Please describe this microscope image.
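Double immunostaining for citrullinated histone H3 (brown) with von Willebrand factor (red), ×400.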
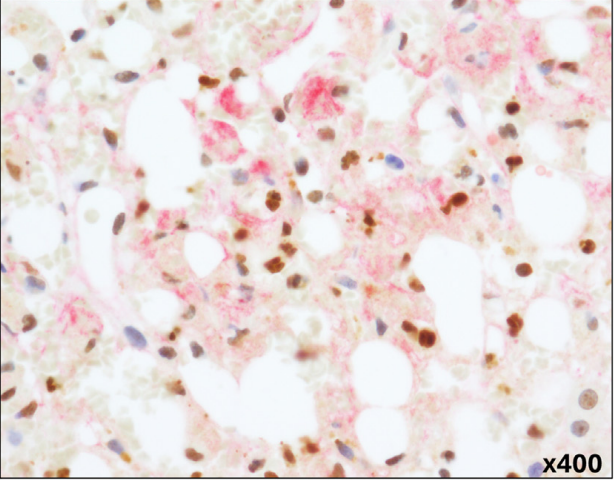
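The field is a disrupted tissue holding many clear, empty round spaces of very different sizes, with a pale pink to reddish mesh between them. The red stain here is faint and fine, outlining thin strands and cell borders, with a few denser pink patches. Many small, dense dark brown nuclei are scattered throughout the field, some round and some irregular. A smaller number of oval blue nuclei lie among them.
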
